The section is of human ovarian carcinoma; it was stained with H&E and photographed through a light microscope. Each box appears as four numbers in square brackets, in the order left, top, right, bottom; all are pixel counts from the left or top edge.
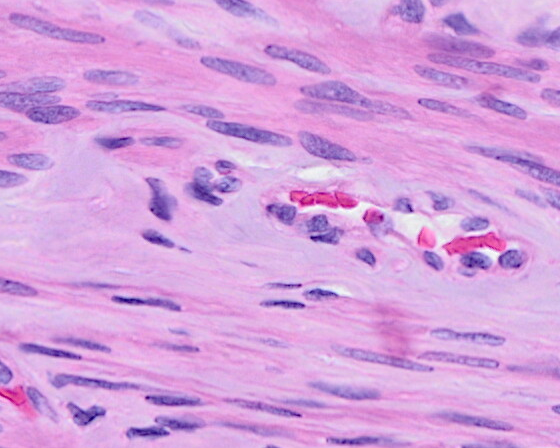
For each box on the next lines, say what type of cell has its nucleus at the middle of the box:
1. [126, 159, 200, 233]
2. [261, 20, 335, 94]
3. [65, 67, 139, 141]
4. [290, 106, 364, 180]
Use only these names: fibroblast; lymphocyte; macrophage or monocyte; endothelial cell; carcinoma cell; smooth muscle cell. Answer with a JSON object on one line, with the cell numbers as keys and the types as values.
{"1": "fibroblast", "2": "smooth muscle cell", "3": "smooth muscle cell", "4": "smooth muscle cell"}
